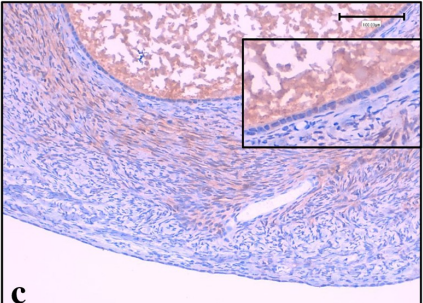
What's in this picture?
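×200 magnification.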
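This is ovarian cortex with an inclusion cyst cut across its upper part. The cyst holds pale pink-brown contents and is lined by a thin layer of flattened to cuboidal cells, shown enlarged in the inset. Around it the cortical stroma is dense, made of closely packed spindle cells with elongated nuclei arranged in wavy bundles.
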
